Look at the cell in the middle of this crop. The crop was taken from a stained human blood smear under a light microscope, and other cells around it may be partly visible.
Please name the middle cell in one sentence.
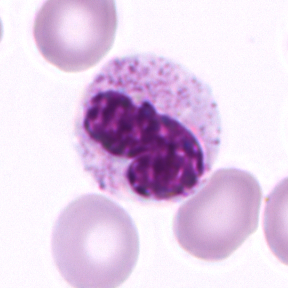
In the middle of this smear crop, the cell is a band neutrophil.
